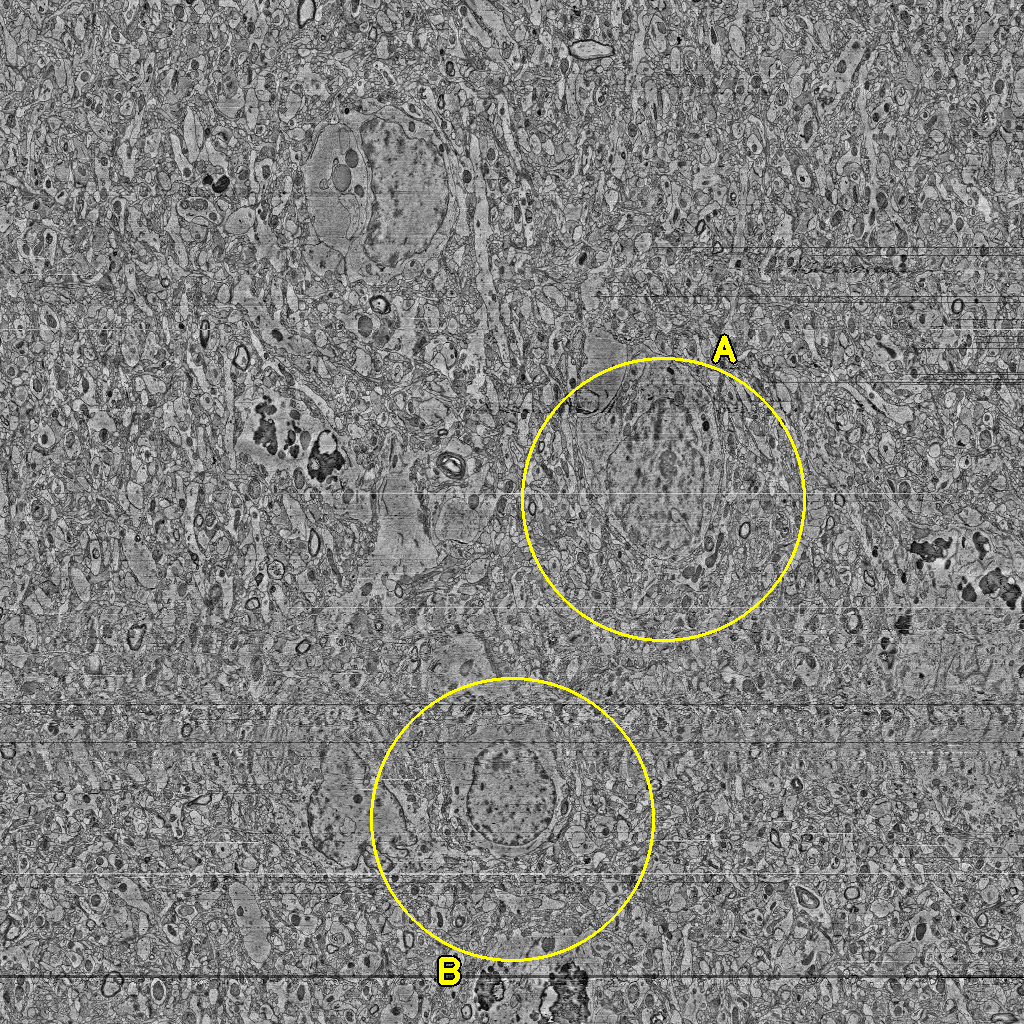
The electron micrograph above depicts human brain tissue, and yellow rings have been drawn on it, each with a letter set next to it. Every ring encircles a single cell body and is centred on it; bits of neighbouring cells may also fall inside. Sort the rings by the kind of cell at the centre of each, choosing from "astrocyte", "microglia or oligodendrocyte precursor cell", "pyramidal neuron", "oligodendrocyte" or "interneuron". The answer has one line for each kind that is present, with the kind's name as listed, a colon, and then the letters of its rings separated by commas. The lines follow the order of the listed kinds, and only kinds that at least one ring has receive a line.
astrocyte: B
interneuron: A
